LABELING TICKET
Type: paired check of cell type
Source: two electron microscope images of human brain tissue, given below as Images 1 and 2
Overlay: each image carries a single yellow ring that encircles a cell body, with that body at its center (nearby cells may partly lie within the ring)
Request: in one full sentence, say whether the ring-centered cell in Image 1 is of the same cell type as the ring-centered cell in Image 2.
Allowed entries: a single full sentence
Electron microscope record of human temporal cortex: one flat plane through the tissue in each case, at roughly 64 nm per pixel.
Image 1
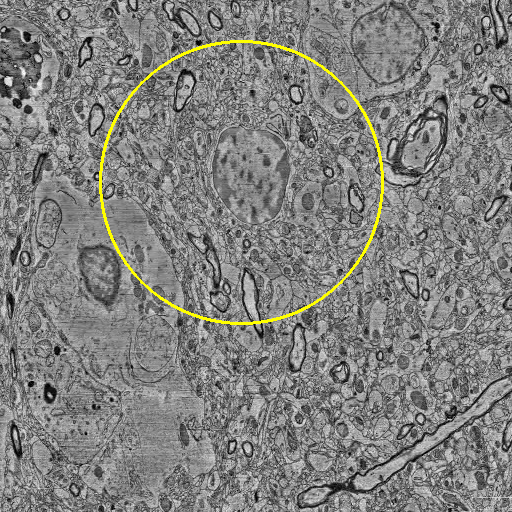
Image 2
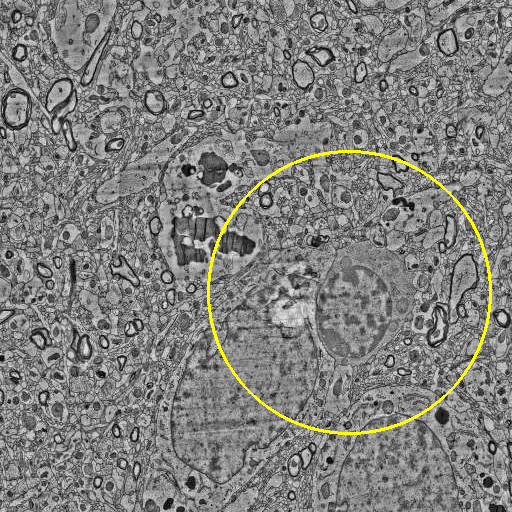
No, the cells centered in the rings of Image 1 and Image 2 are of two types.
